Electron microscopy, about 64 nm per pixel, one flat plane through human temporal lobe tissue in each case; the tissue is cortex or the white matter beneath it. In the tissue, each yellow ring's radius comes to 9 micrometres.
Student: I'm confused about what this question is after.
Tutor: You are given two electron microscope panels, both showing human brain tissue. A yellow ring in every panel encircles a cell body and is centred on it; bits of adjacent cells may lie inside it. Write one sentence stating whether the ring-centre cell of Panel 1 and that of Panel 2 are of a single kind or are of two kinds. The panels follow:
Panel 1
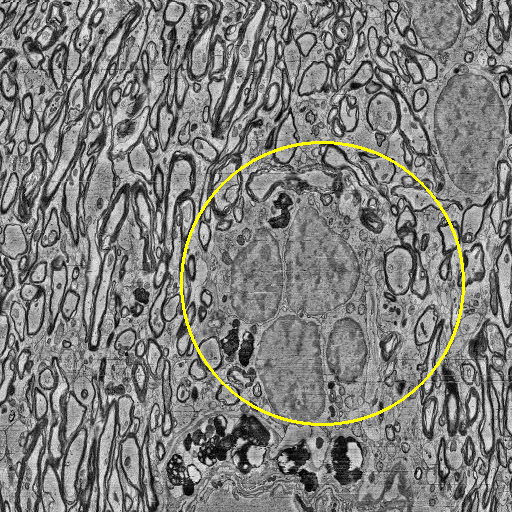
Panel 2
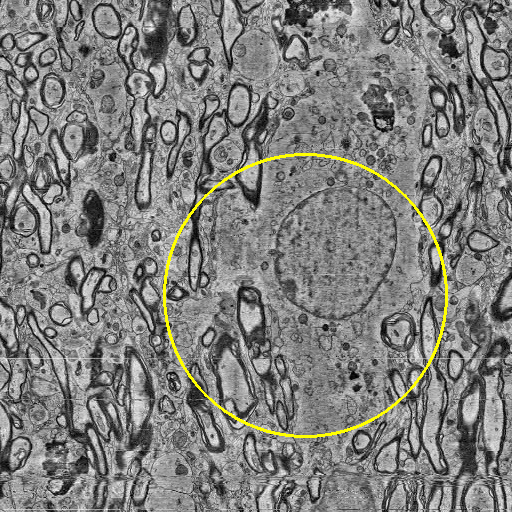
Here, the Panel 1 ring-centre cell and the Panel 2 ring-centre cell are of two kinds.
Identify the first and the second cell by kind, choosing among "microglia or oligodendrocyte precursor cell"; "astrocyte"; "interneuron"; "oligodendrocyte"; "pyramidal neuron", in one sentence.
The one in the first picture is an oligodendrocyte, while the one in the second is an astrocyte.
